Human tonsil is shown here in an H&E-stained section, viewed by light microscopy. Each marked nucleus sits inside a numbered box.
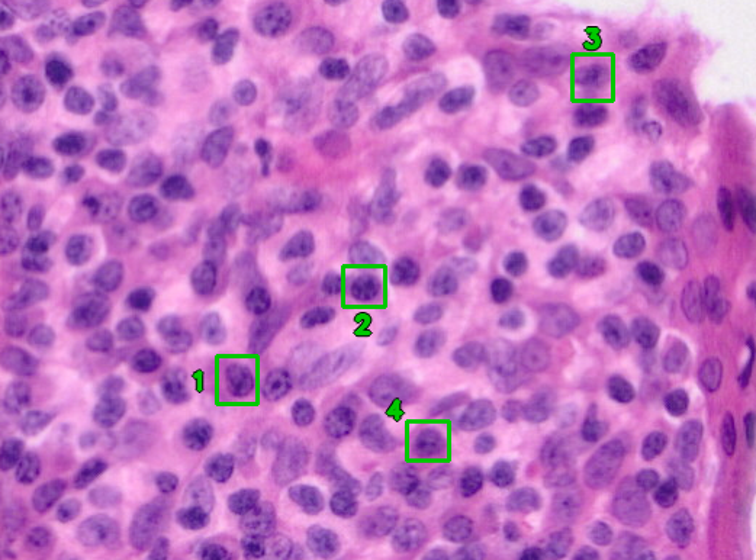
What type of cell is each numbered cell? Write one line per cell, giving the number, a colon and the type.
1: plasma cell
2: plasma cell
3: squamous epithelial cell
4: plasma cell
